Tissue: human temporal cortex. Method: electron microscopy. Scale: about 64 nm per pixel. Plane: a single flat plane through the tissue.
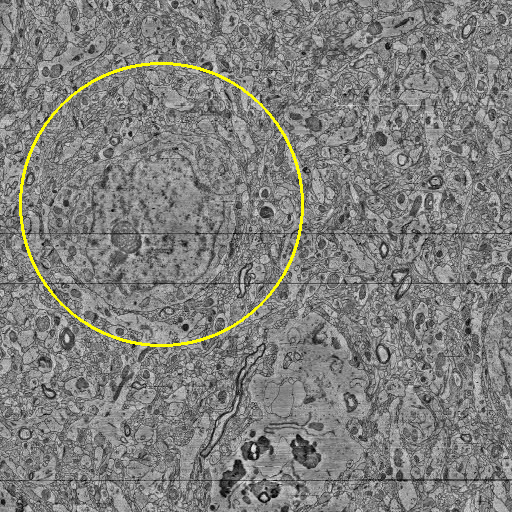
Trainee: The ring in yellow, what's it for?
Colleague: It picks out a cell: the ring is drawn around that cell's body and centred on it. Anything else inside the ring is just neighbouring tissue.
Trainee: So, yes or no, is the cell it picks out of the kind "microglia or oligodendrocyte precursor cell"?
no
